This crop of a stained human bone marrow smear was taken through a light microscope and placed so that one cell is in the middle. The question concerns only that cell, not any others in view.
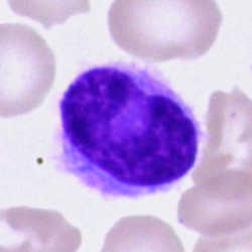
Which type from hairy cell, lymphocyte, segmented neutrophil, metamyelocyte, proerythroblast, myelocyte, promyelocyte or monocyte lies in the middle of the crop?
hairy cell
